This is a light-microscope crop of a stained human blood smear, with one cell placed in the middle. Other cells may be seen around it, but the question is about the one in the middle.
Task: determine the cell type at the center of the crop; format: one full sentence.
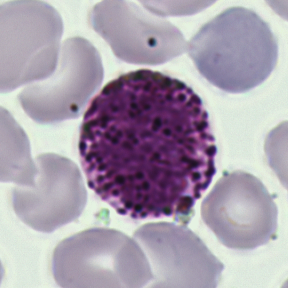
Within this crop, a basophil occupies the central position.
